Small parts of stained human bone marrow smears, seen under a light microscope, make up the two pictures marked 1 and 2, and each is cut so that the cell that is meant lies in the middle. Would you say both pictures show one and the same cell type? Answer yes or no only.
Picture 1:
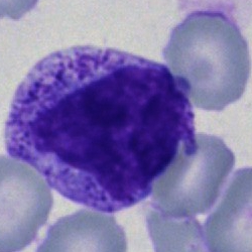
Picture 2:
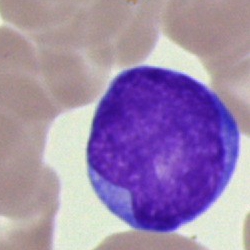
no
